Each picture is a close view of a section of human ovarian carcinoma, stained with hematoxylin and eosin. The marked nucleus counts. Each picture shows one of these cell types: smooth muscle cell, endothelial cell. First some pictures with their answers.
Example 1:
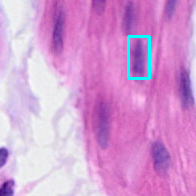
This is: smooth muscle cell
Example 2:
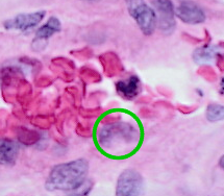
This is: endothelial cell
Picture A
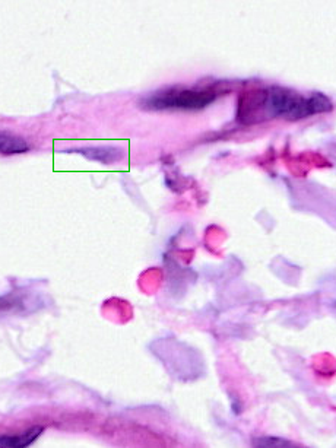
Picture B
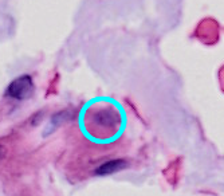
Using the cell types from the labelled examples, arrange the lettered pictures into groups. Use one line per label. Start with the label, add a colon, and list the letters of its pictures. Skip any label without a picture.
smooth muscle cell: B
endothelial cell: A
